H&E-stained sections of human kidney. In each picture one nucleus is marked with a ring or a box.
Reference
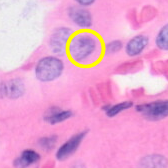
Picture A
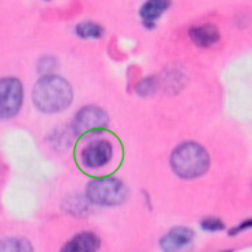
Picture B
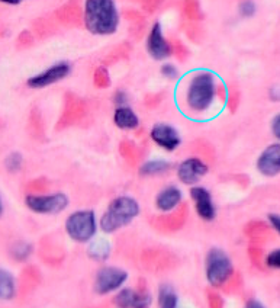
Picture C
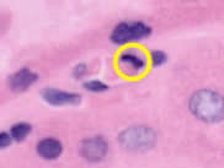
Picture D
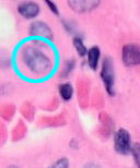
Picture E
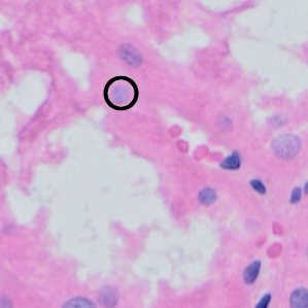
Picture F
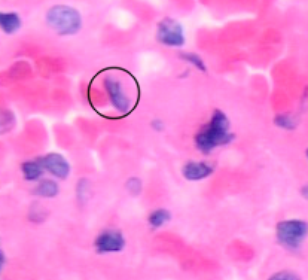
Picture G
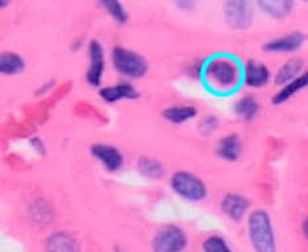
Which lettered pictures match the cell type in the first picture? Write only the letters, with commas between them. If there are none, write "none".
A, D, G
